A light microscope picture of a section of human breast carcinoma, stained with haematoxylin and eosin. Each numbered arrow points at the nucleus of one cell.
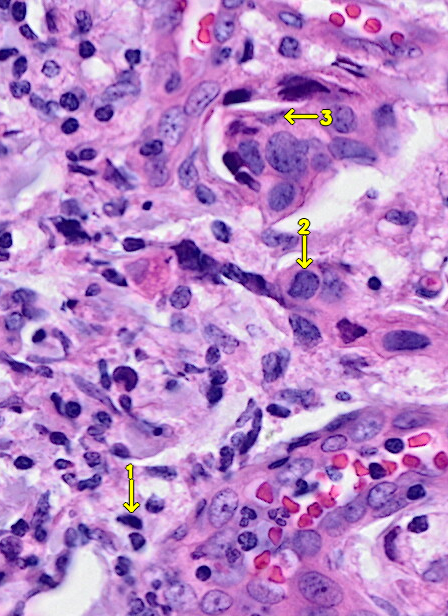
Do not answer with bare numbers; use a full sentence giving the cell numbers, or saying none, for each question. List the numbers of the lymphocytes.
Cell 1 is a lymphocyte, which is true of none of the other numbered cells.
